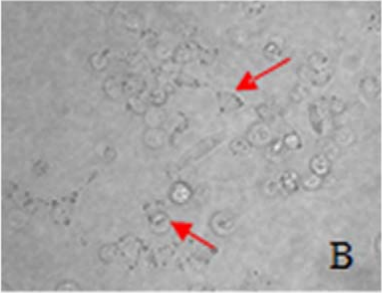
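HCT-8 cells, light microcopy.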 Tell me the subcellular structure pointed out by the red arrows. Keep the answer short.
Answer: Vacuoles.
